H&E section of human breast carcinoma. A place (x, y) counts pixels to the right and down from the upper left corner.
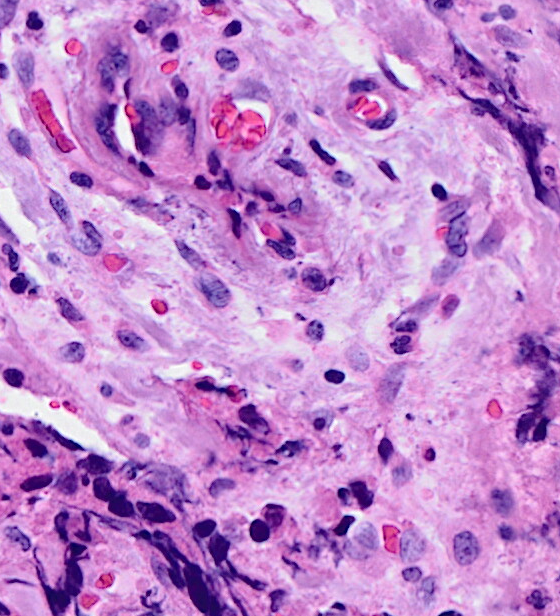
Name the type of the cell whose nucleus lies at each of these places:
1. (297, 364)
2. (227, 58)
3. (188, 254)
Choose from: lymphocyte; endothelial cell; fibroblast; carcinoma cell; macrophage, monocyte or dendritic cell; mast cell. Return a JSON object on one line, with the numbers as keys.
{"1": "mast cell", "2": "mast cell", "3": "fibroblast"}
